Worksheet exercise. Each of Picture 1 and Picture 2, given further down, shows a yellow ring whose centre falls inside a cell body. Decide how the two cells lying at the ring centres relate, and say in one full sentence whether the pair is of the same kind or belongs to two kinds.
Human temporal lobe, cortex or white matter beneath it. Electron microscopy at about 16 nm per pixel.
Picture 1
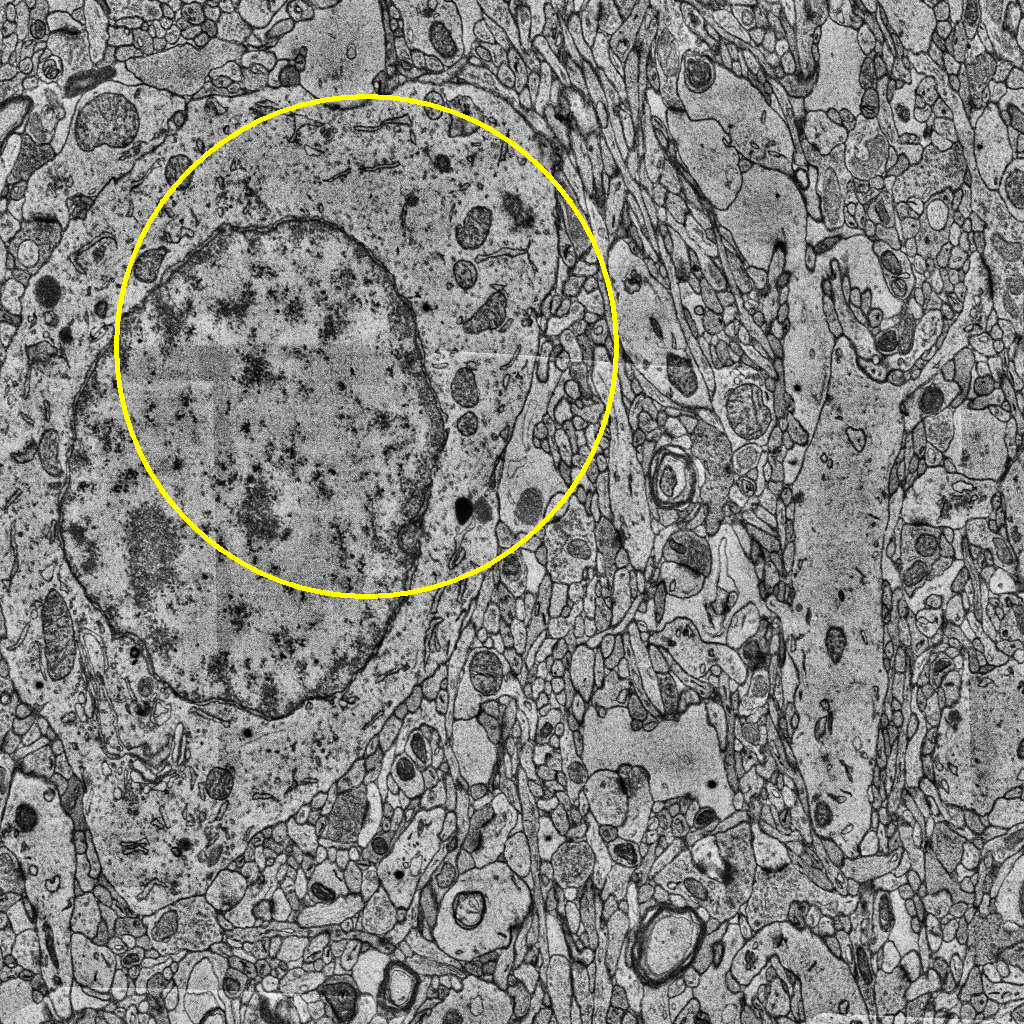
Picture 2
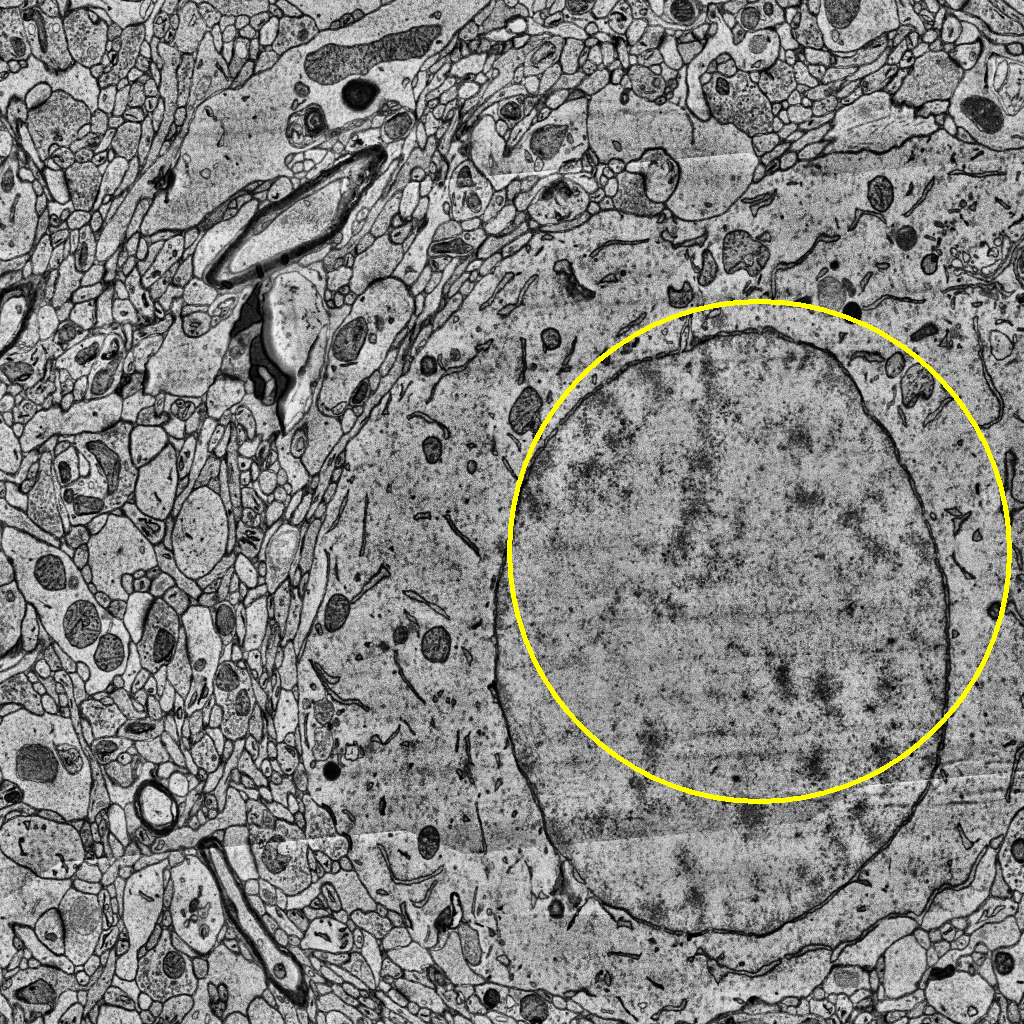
The cells at the ring centres in Picture 1 and Picture 2 are of the same kind.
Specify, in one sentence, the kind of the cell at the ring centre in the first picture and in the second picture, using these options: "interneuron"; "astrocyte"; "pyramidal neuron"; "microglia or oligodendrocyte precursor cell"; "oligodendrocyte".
Both cells are the same kind, each one being a pyramidal neuron.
